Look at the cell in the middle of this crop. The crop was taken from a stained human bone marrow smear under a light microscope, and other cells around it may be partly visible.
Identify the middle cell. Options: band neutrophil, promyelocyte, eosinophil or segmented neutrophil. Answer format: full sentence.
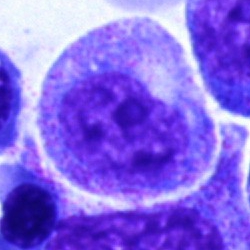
The centrally positioned cell in the crop represents a promyelocyte.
